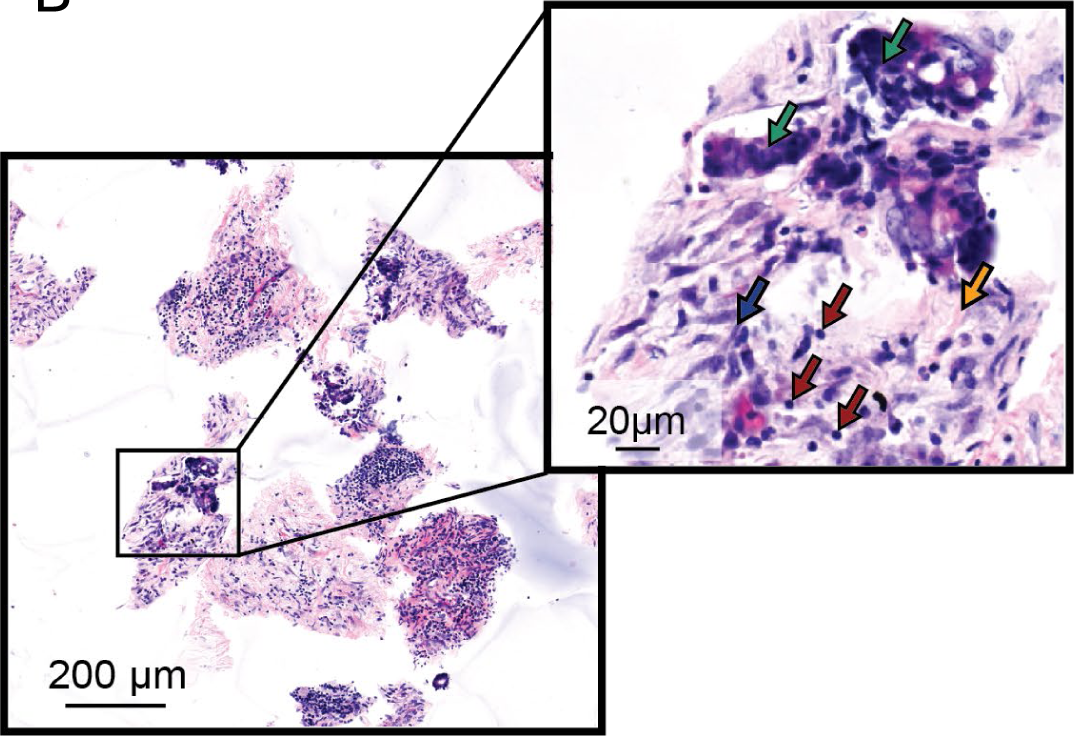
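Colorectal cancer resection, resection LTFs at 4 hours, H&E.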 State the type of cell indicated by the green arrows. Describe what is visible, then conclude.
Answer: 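Tumor cells. The green arrows point to clusters of crowded, deeply purple cells with large nuclei. These cells form cohesive groups unlike the scattered small cells nearby.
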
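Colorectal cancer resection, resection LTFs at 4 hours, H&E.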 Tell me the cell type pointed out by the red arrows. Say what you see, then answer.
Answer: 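Lymphocytes. The red arrows point to small round cells with dark, compact nuclei. They lie scattered in loose pink stroma of the fragment.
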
